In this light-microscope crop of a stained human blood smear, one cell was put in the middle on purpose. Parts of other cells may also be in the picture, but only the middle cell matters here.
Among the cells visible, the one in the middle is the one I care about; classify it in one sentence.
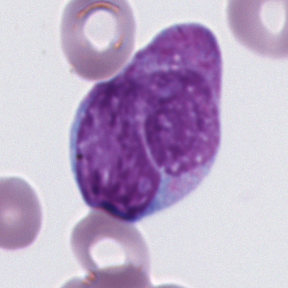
Present in the middle of the crop is an atypical promyelocyte.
